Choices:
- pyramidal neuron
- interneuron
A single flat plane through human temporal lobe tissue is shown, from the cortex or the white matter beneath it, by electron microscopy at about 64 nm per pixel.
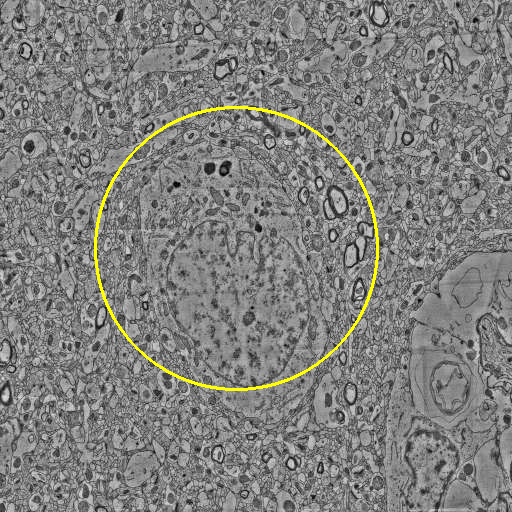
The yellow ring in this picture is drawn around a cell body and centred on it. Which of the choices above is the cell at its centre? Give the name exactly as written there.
interneuron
